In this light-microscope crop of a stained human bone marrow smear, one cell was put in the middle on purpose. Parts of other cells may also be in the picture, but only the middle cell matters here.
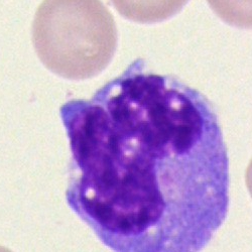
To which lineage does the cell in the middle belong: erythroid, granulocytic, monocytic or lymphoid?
monocytic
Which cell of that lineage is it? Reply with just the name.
monocyte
